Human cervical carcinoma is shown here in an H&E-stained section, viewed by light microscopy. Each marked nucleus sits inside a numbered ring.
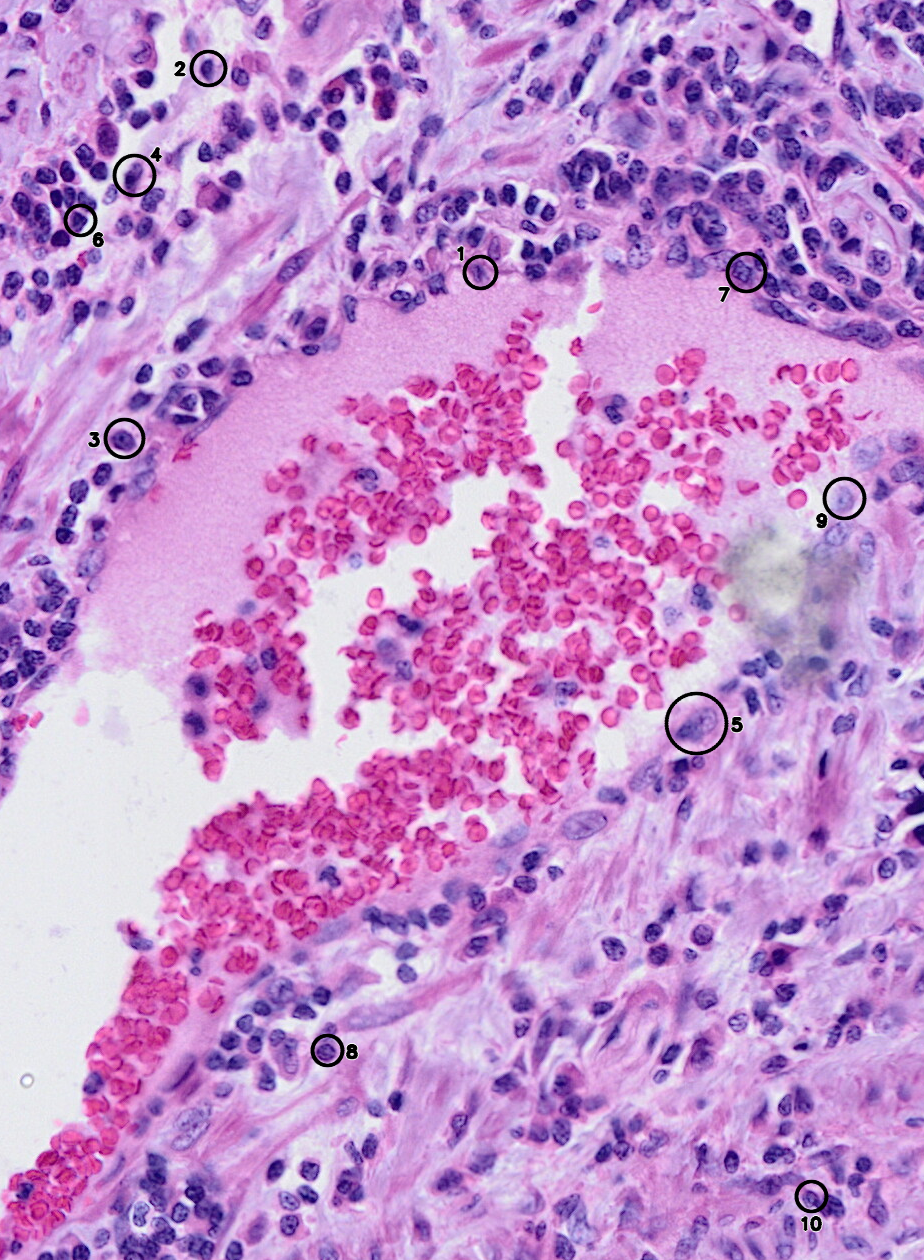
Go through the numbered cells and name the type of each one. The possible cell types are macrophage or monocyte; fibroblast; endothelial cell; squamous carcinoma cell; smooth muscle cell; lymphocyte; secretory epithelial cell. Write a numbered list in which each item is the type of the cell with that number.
1. endothelial cell
2. lymphocyte
3. lymphocyte
4. lymphocyte
5. endothelial cell
6. lymphocyte
7. endothelial cell
8. lymphocyte
9. endothelial cell
10. lymphocyte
